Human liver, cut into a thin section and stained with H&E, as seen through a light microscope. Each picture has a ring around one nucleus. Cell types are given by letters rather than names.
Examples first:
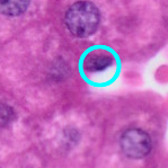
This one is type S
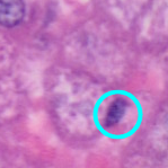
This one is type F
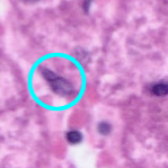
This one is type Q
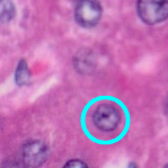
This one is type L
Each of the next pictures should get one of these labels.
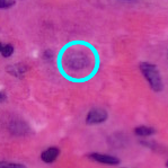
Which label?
type L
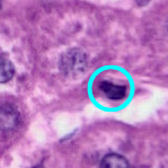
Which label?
type Q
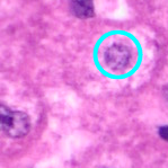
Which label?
type L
